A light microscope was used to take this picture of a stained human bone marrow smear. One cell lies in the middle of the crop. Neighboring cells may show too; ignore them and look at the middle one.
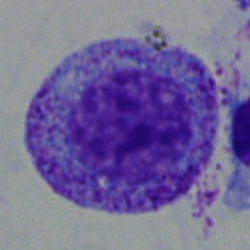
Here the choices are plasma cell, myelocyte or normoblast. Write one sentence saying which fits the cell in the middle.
Within this crop, a myelocyte occupies the central position.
